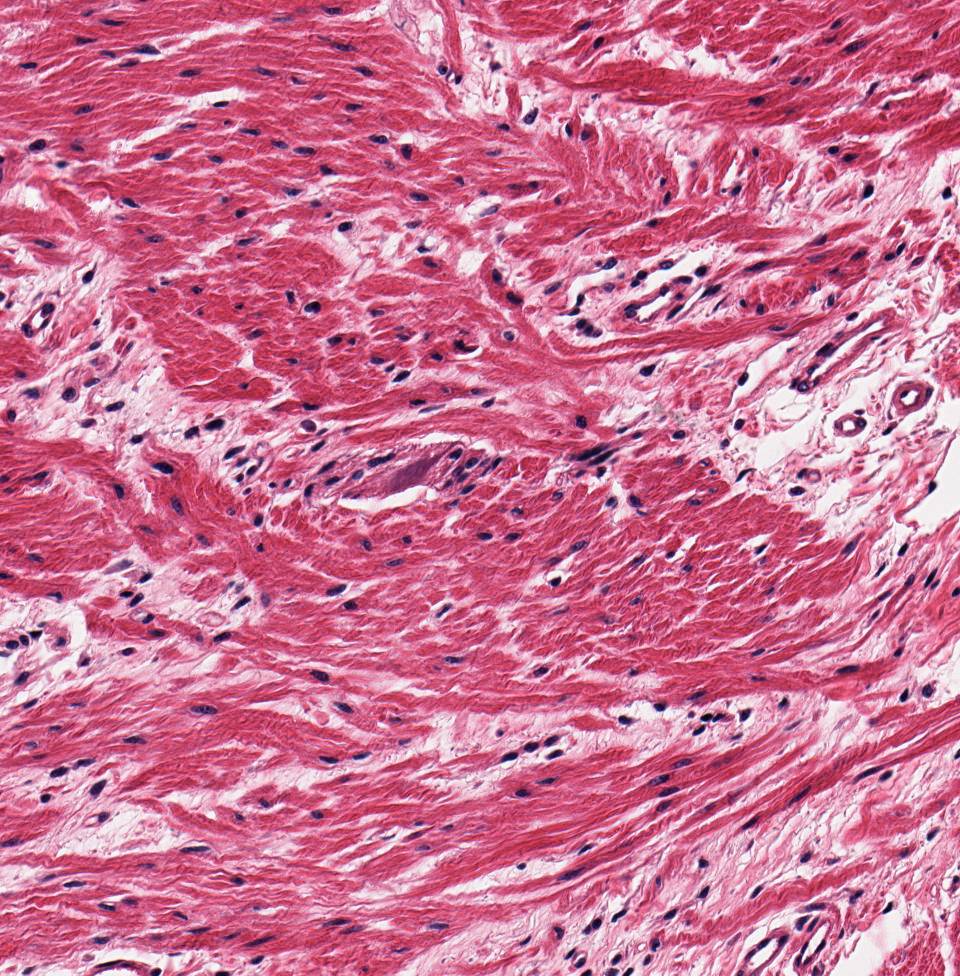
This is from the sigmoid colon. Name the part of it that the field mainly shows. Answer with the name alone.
smooth muscle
